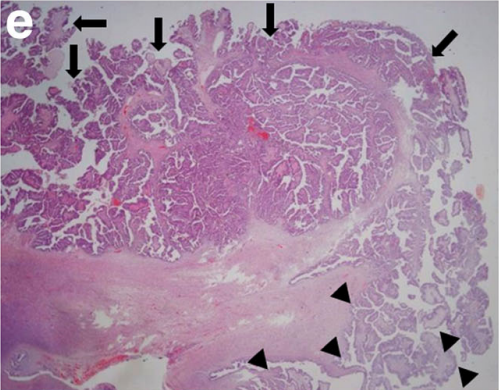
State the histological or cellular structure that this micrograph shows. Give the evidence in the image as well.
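Papillary architecture with a hierarchical internal branching fibrous stalk. A broad pale pink fibrous core runs through the lower part and branches upward. Purple epithelium-covered fronds arise from the branching core.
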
